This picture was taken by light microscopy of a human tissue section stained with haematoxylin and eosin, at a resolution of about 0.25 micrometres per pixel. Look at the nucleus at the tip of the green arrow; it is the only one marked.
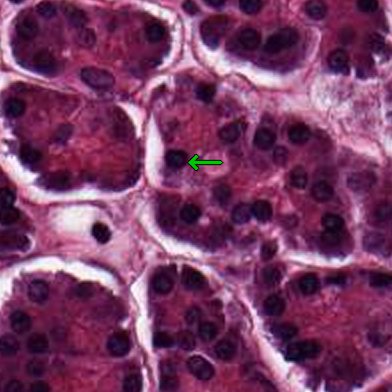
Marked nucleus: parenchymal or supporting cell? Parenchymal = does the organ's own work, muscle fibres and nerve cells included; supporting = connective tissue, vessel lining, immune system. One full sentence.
The cell carrying the marked nucleus is a pancreatic acinar cell, a parenchymal cell.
